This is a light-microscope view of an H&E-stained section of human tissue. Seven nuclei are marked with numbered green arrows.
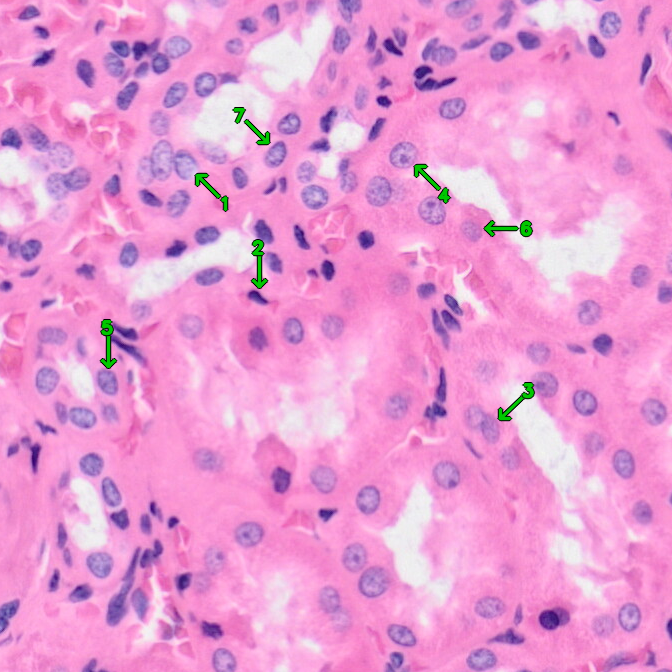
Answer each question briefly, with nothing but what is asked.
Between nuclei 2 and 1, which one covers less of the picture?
2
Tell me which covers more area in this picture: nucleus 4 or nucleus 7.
4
